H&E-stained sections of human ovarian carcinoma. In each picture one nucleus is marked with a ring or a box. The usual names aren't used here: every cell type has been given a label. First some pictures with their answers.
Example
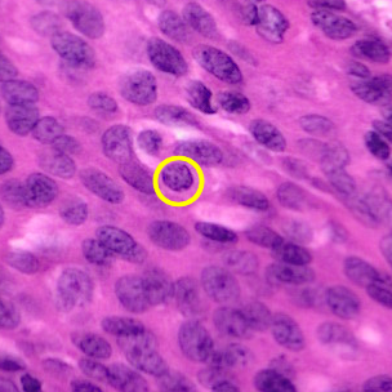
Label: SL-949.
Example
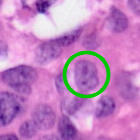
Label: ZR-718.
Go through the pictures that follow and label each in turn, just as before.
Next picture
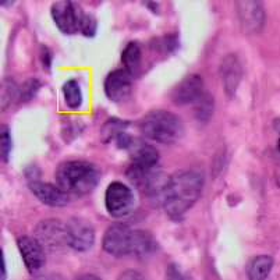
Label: ZR-718.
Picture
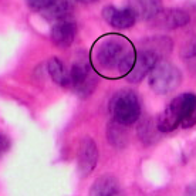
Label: ZR-718.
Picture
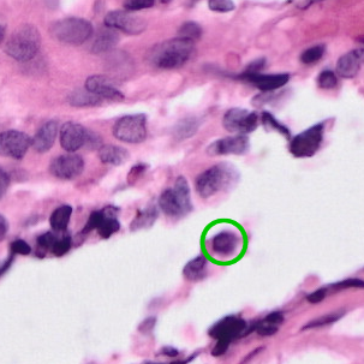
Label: ZR-718.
